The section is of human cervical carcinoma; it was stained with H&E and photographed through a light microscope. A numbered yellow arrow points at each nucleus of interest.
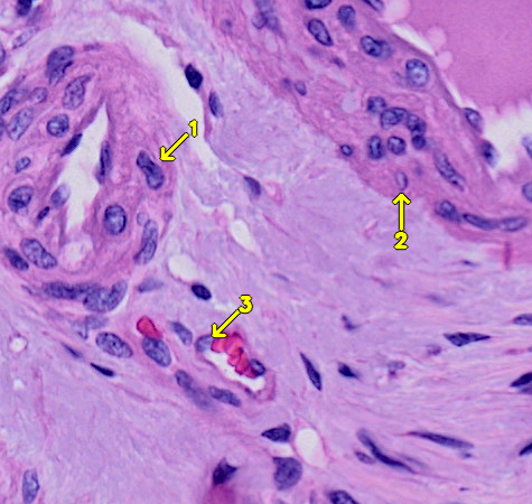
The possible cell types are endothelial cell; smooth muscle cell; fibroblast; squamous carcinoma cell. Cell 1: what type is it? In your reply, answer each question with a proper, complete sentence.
Cell 1 in the field of view is a smooth muscle cell.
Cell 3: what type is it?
Here, the cell given the number 3 is an endothelial cell.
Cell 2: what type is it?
In this section, the cell tagged 2 is a smooth muscle cell.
